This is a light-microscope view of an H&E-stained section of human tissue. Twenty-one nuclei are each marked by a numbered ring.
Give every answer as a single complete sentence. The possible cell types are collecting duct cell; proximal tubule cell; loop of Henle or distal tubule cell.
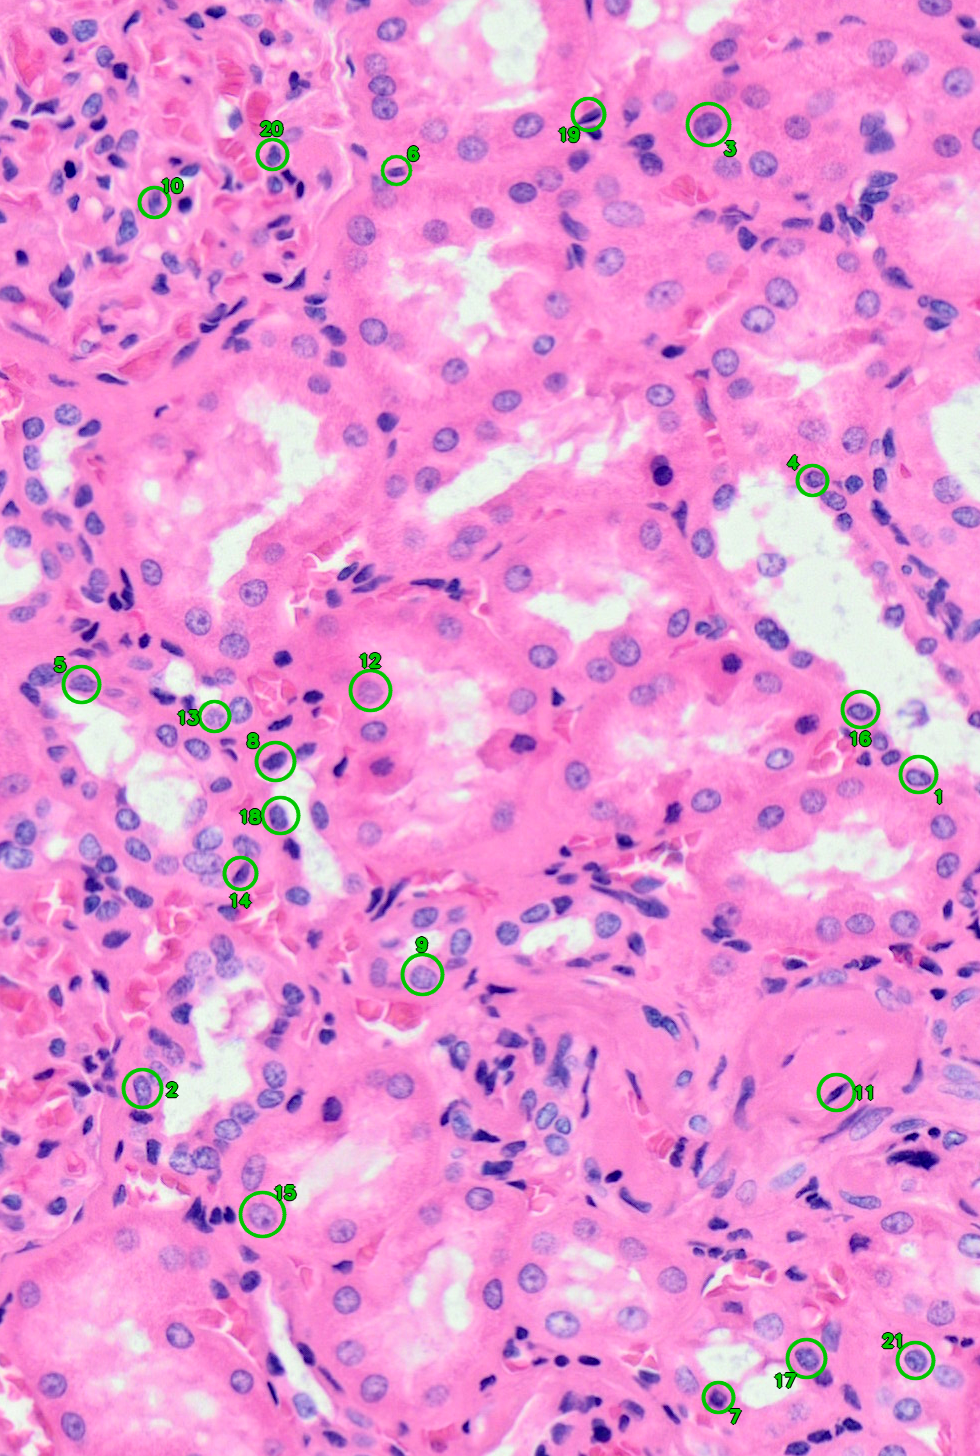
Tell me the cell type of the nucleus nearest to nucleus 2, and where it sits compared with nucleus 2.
Lying above and to the right of nucleus 2, the nearest nucleus is that of a collecting duct cell.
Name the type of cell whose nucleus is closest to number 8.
The cell nearest to number 8 is a loop of Henle or distal tubule cell.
